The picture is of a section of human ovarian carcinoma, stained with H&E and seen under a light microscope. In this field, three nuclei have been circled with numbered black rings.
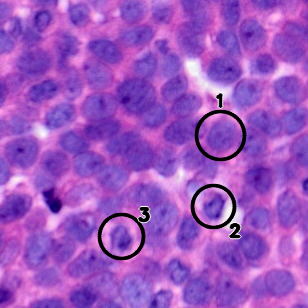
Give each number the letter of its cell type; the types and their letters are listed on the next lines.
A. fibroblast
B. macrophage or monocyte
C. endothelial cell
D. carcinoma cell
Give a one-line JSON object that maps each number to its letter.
{"1": "D", "2": "B", "3": "B"}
